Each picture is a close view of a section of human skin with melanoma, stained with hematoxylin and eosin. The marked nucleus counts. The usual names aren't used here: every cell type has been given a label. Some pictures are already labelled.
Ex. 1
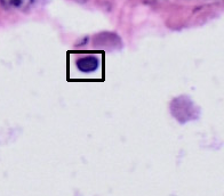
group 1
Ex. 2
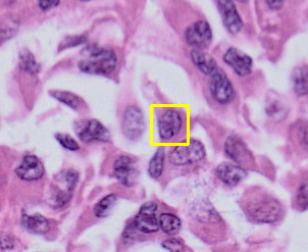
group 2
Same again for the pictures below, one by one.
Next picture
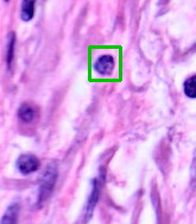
group 1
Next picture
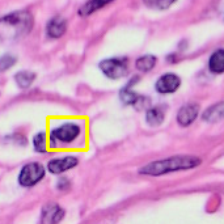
group 1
